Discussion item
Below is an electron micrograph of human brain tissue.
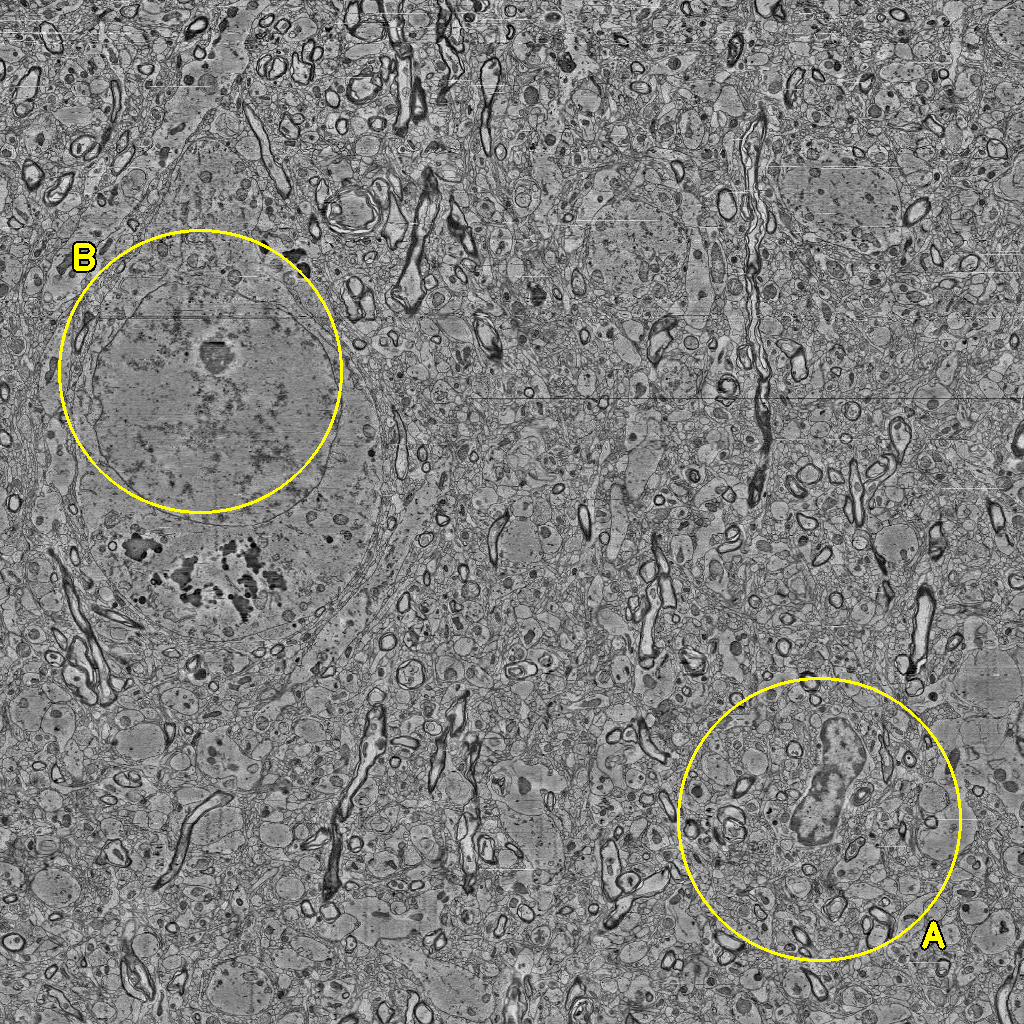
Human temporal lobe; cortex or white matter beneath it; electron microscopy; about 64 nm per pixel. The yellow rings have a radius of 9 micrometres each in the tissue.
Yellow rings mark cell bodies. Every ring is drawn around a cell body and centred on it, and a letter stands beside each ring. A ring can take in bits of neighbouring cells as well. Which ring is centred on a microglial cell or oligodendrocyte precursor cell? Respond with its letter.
A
